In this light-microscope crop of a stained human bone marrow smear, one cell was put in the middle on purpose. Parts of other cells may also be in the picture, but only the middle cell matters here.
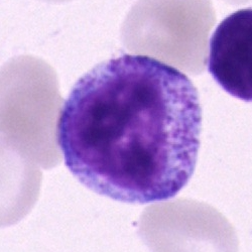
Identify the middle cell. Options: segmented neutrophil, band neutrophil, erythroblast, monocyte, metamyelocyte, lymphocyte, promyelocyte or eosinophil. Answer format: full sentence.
Here the centrally located cell is a promyelocyte.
